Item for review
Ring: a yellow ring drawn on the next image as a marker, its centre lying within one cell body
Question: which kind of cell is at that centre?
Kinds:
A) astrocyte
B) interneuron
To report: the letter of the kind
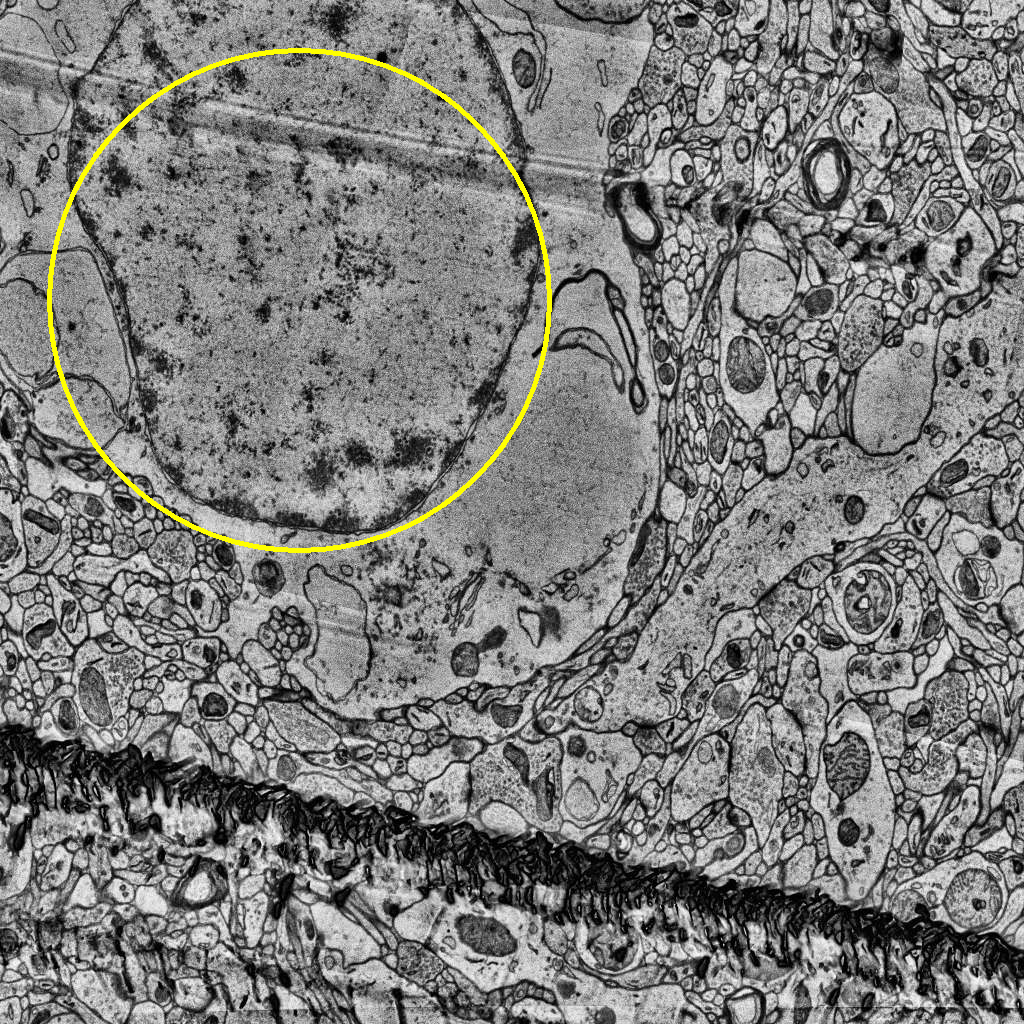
A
